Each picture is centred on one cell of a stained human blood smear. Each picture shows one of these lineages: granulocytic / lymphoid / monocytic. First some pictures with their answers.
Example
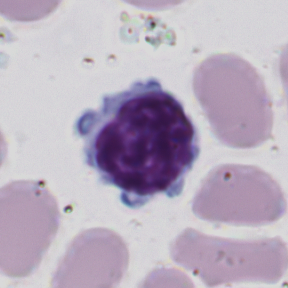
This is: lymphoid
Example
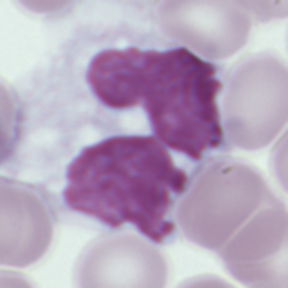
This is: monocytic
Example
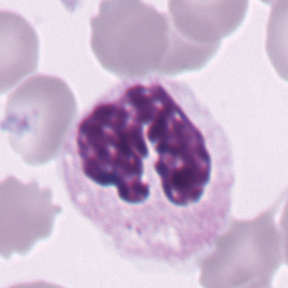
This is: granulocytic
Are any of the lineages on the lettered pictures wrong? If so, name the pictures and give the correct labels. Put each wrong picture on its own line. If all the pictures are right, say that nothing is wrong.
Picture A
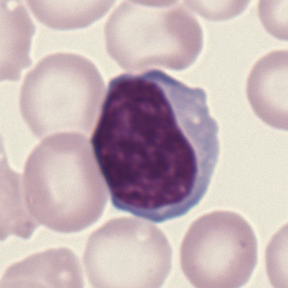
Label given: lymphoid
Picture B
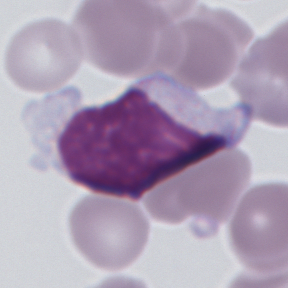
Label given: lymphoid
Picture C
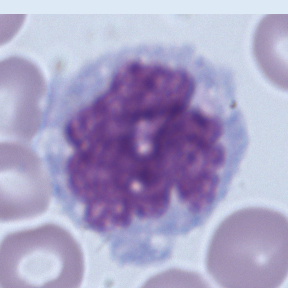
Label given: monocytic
Nothing to fix; every label fits.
